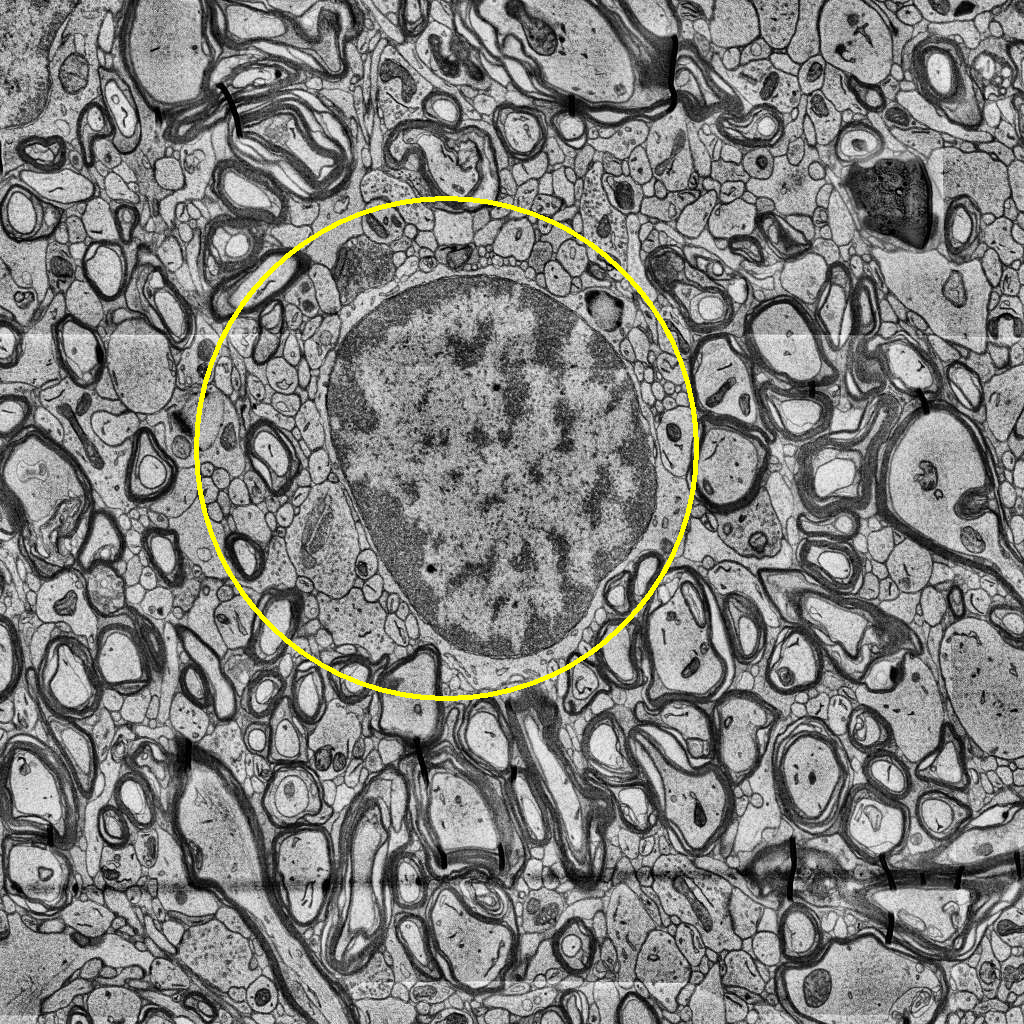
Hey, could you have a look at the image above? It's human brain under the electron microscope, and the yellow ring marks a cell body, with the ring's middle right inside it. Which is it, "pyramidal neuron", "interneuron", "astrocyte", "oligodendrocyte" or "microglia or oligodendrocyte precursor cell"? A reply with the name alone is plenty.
microglia or oligodendrocyte precursor cell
